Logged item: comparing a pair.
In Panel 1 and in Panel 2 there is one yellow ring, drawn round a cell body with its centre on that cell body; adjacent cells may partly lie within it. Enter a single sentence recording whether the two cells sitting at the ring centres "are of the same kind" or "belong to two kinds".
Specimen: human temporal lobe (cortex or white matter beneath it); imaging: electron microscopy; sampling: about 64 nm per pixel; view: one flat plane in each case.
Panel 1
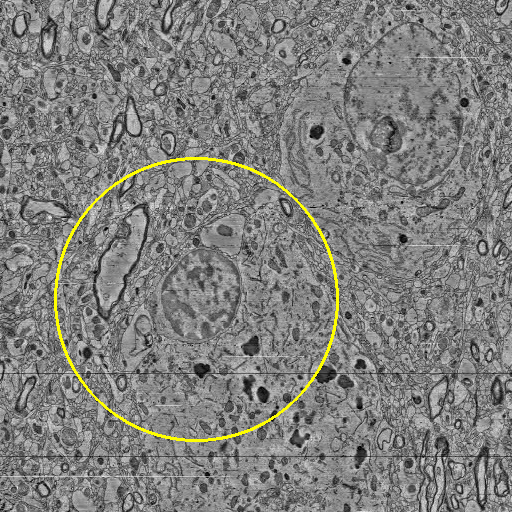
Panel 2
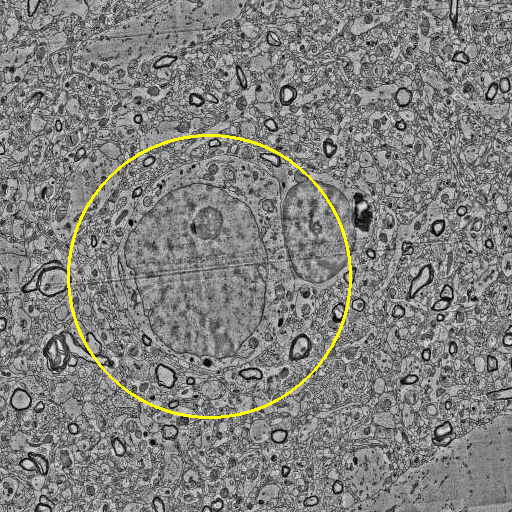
Logged: the cells centred in the rings of Panel 1 and Panel 2 belong to two kinds.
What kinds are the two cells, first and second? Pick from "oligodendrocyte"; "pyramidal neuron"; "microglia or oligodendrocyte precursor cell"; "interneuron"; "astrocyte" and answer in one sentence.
The second picture holds a pyramidal neuron in its ring, and the first holds an oligodendrocyte.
